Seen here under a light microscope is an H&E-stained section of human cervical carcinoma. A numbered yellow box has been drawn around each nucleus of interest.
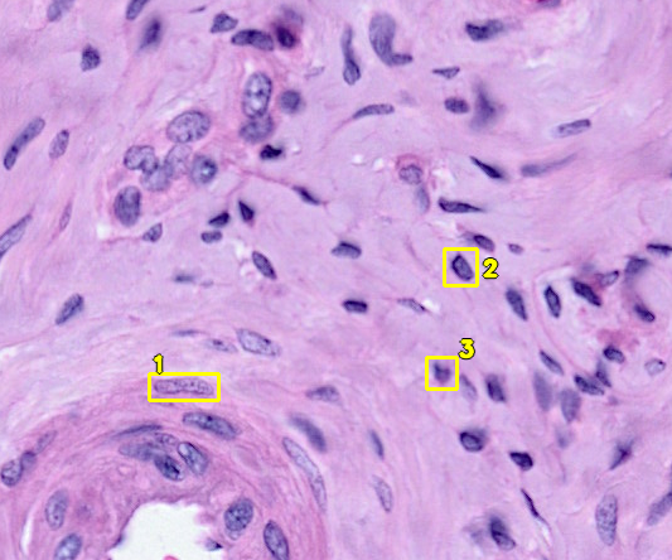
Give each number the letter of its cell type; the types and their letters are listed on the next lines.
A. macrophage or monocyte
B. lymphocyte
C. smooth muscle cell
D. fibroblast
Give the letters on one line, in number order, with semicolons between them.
C; D; D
